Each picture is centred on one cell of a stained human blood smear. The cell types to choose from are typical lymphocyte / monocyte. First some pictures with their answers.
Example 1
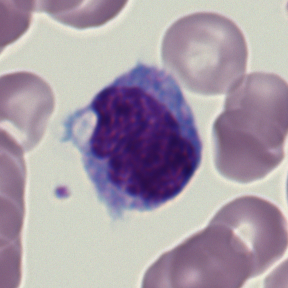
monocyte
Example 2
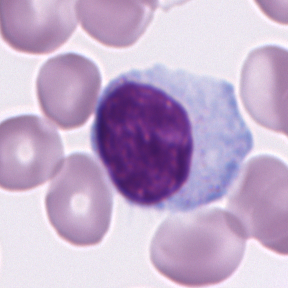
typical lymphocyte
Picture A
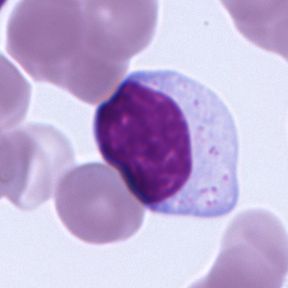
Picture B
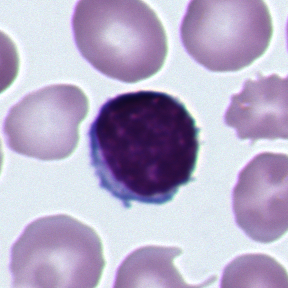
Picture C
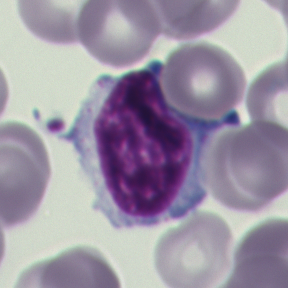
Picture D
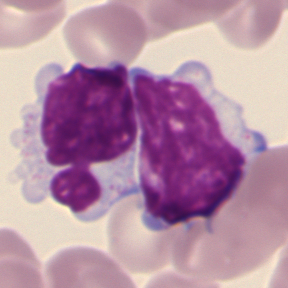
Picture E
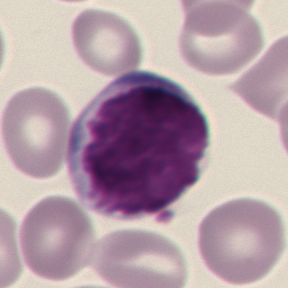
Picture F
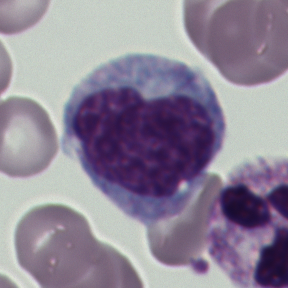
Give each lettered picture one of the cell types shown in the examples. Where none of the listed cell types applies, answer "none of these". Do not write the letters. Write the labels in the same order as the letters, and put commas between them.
none of these, typical lymphocyte, typical lymphocyte, none of these, none of these, monocyte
